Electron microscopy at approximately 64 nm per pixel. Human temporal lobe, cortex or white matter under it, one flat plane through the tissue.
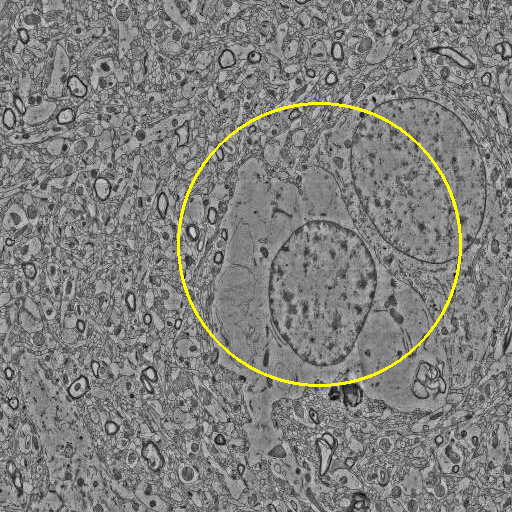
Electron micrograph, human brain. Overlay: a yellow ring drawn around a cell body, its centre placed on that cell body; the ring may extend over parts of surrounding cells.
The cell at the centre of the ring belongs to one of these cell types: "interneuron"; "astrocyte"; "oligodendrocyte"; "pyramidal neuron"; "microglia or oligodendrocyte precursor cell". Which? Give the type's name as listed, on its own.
astrocyte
